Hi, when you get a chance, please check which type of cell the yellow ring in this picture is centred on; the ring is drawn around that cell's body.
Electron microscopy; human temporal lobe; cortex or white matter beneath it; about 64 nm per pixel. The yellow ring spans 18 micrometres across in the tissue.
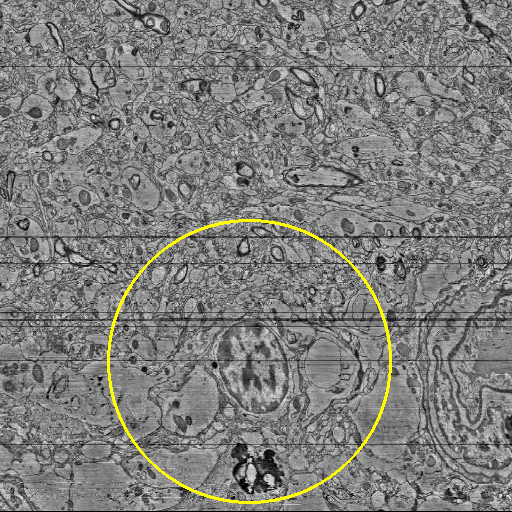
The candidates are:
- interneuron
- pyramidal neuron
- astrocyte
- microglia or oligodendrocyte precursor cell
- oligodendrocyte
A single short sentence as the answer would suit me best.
The ring is drawn around the body of a microglial cell or oligodendrocyte precursor cell.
